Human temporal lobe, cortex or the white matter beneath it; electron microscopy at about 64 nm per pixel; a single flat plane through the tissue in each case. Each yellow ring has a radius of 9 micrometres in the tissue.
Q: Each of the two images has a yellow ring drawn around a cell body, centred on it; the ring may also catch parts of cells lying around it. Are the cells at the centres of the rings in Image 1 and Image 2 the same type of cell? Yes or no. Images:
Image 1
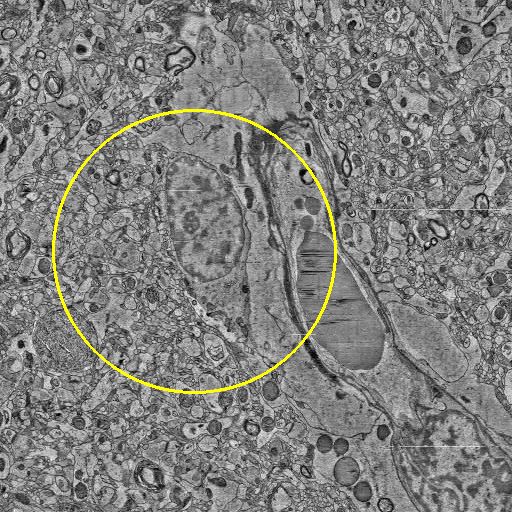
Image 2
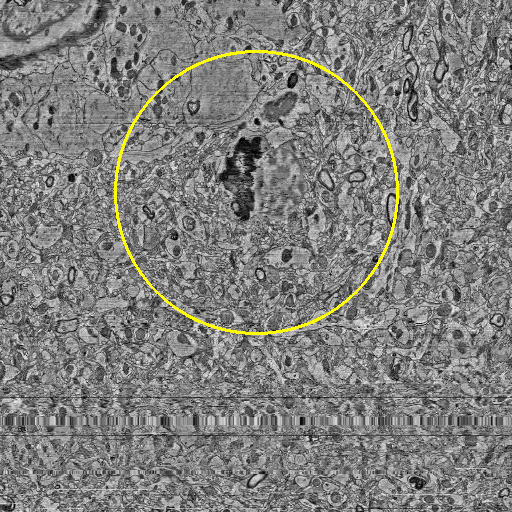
yes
